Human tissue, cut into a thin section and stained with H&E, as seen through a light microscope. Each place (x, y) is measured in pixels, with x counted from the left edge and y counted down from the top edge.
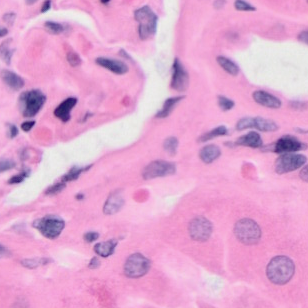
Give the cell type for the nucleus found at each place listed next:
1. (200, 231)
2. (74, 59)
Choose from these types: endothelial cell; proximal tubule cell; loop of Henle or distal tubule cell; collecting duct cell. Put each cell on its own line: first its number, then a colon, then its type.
1: proximal tubule cell
2: endothelial cell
